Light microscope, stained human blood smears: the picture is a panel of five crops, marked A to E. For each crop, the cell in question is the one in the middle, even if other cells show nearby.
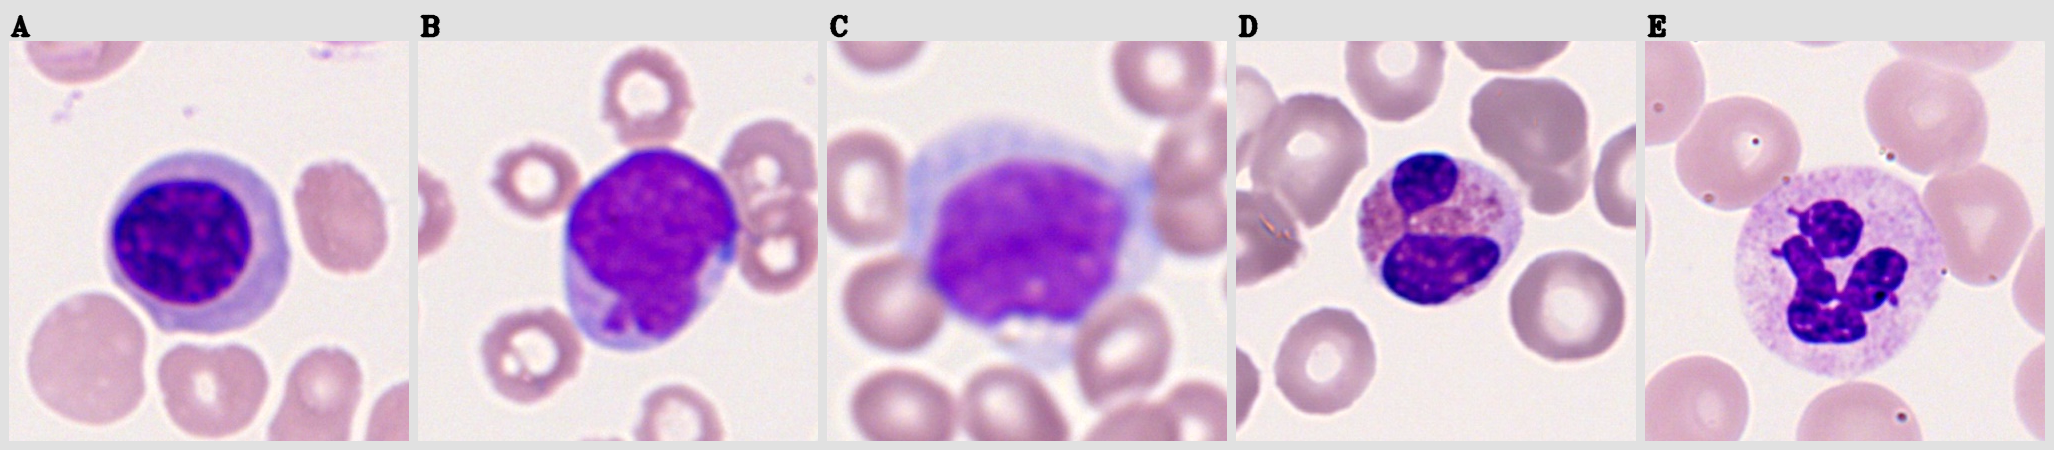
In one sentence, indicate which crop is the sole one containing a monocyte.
Crop C, and no other, is the one that shows a monocyte.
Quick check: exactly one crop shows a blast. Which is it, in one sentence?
Crop B, and no other, shows a blast.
